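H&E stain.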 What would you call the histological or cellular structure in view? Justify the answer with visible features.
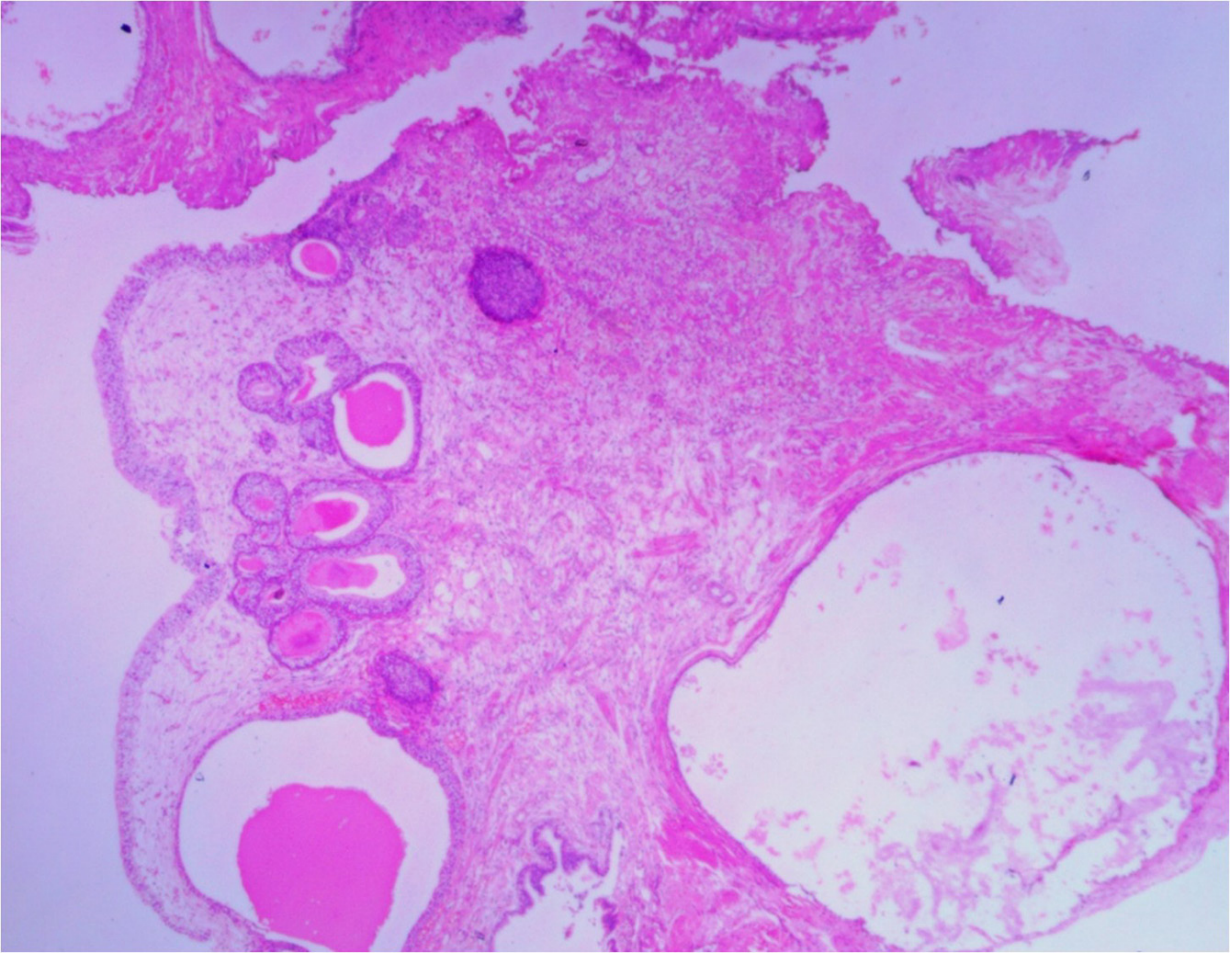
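Several round to oval spaces of clearly different sizes lie within the tissue. Some spaces contain pale or dense pink material. The spaces are lined by a thin layer of epithelium and set in loose pink stroma.
Hence: multiple cystic spaces of varying size.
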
